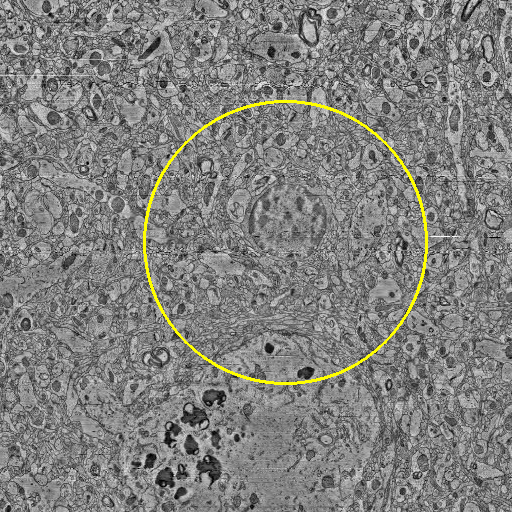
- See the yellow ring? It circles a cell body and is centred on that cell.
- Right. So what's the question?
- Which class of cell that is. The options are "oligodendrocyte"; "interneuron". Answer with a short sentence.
The centre of the ring holds an oligodendrocyte.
